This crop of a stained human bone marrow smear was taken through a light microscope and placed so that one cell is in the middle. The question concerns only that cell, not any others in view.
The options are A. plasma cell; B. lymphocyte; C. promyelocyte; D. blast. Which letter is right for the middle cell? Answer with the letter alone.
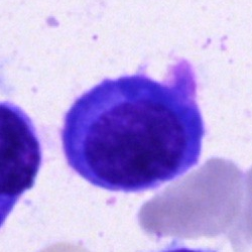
A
